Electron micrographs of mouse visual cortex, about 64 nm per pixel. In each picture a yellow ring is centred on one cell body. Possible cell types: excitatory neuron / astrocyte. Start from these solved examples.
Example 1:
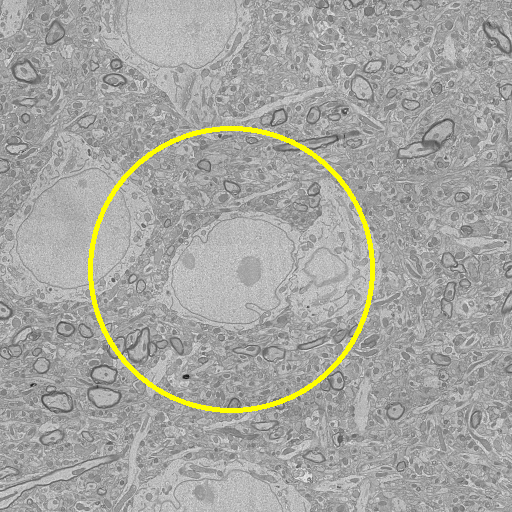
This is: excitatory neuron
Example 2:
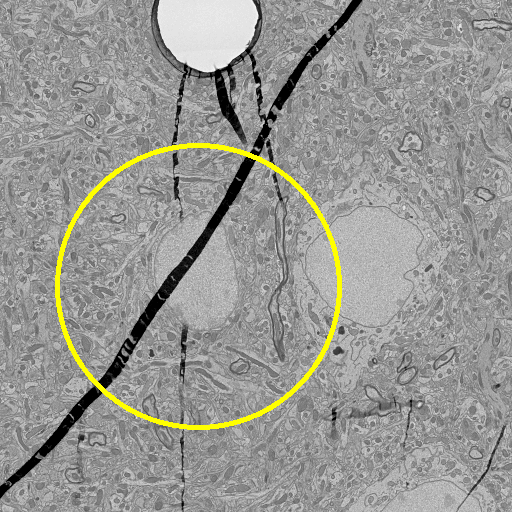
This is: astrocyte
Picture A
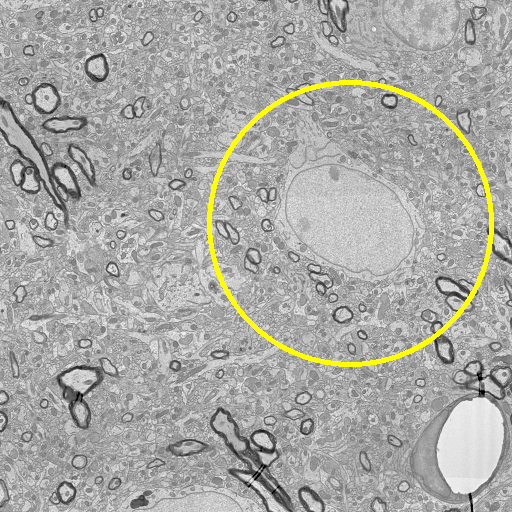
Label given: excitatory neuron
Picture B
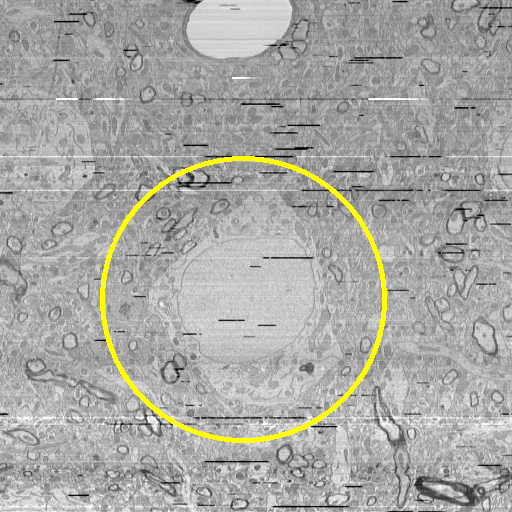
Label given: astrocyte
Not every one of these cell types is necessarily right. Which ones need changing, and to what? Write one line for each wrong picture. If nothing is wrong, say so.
B: excitatory neuron, not astrocyte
